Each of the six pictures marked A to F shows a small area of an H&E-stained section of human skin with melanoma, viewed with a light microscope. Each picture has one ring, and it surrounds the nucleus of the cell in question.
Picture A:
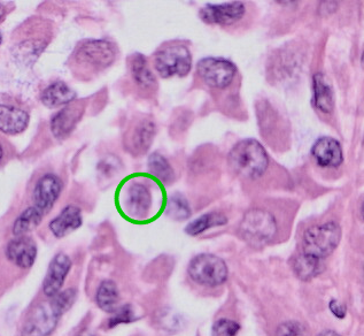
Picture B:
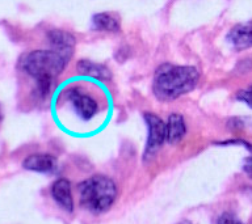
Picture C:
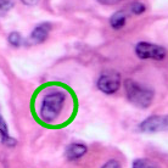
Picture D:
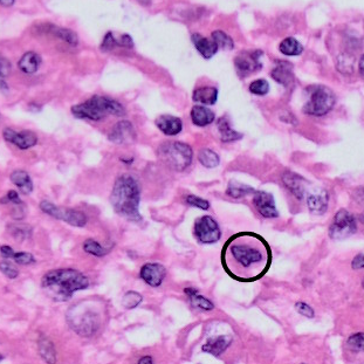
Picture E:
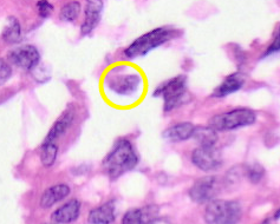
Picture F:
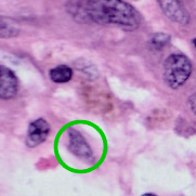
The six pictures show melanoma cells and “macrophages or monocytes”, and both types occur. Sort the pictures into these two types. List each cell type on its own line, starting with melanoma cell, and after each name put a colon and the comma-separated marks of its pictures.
melanoma cell: A, B, E
macrophage or monocyte: C, D, F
